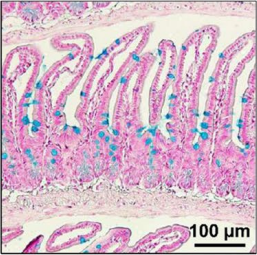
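This is a section of intestine with long finger-like villi rising from a base of crypts, and goblet cells picked out in blue. The goblet cells lie singly within the epithelial lining, scattered along the length of the villi and down into the crypts. Between them the columnar epithelium and the villus cores are stained pink. Beneath the crypts a band of pink muscle wall runs across the section.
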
